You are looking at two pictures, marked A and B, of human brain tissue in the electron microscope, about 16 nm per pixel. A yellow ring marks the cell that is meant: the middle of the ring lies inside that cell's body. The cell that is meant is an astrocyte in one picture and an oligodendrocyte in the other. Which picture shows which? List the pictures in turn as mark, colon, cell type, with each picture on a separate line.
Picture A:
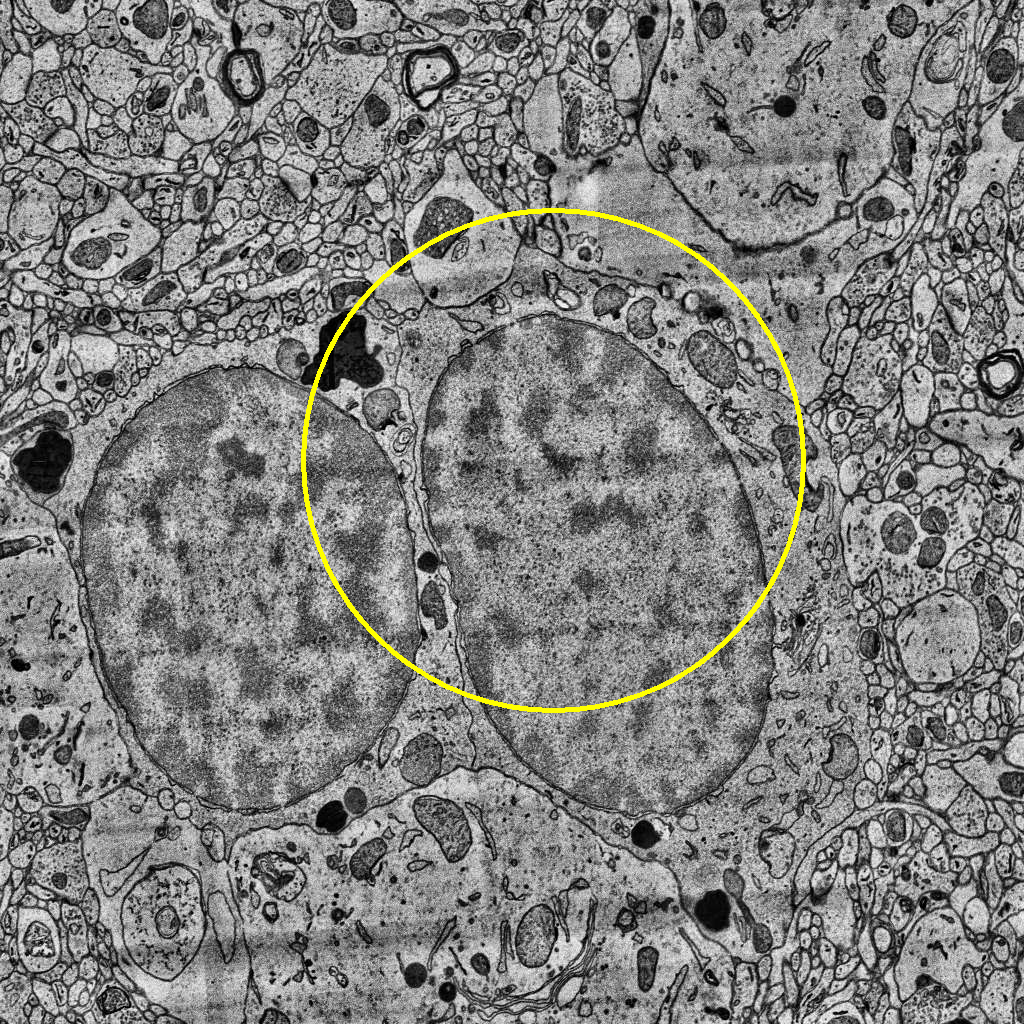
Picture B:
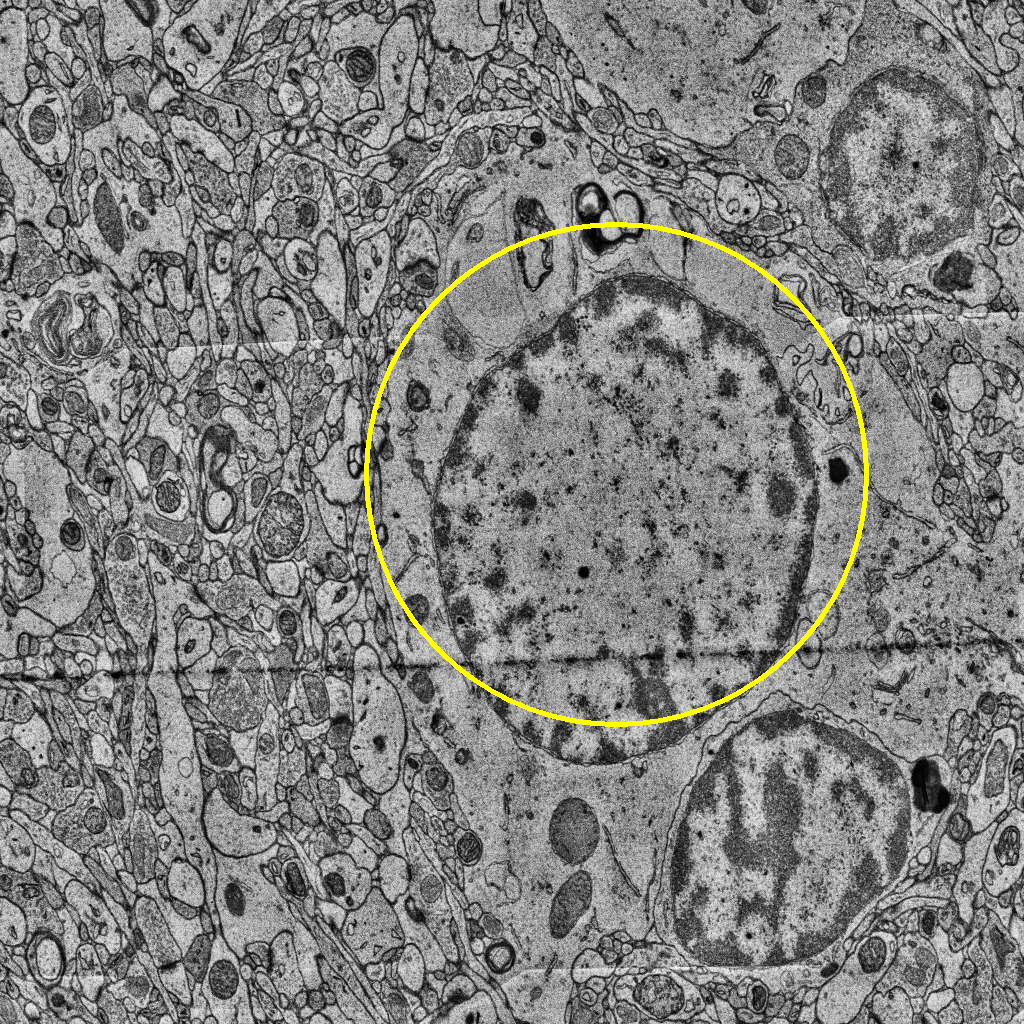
A: oligodendrocyte
B: astrocyte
